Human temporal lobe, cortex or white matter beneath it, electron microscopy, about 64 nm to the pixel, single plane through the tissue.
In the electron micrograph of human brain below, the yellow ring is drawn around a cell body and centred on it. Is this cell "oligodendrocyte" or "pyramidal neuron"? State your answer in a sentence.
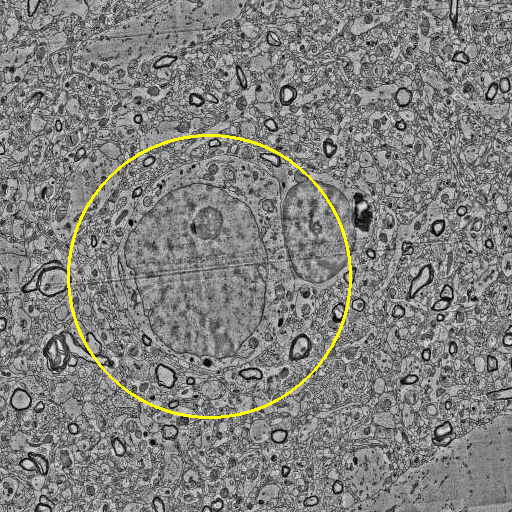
The cell in the middle of the ring is a pyramidal neuron.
